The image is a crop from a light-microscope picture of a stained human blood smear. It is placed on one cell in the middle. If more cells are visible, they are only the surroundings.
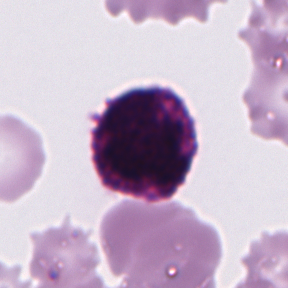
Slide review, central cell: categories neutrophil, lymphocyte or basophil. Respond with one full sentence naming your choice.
The center cell of this crop is a basophil.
